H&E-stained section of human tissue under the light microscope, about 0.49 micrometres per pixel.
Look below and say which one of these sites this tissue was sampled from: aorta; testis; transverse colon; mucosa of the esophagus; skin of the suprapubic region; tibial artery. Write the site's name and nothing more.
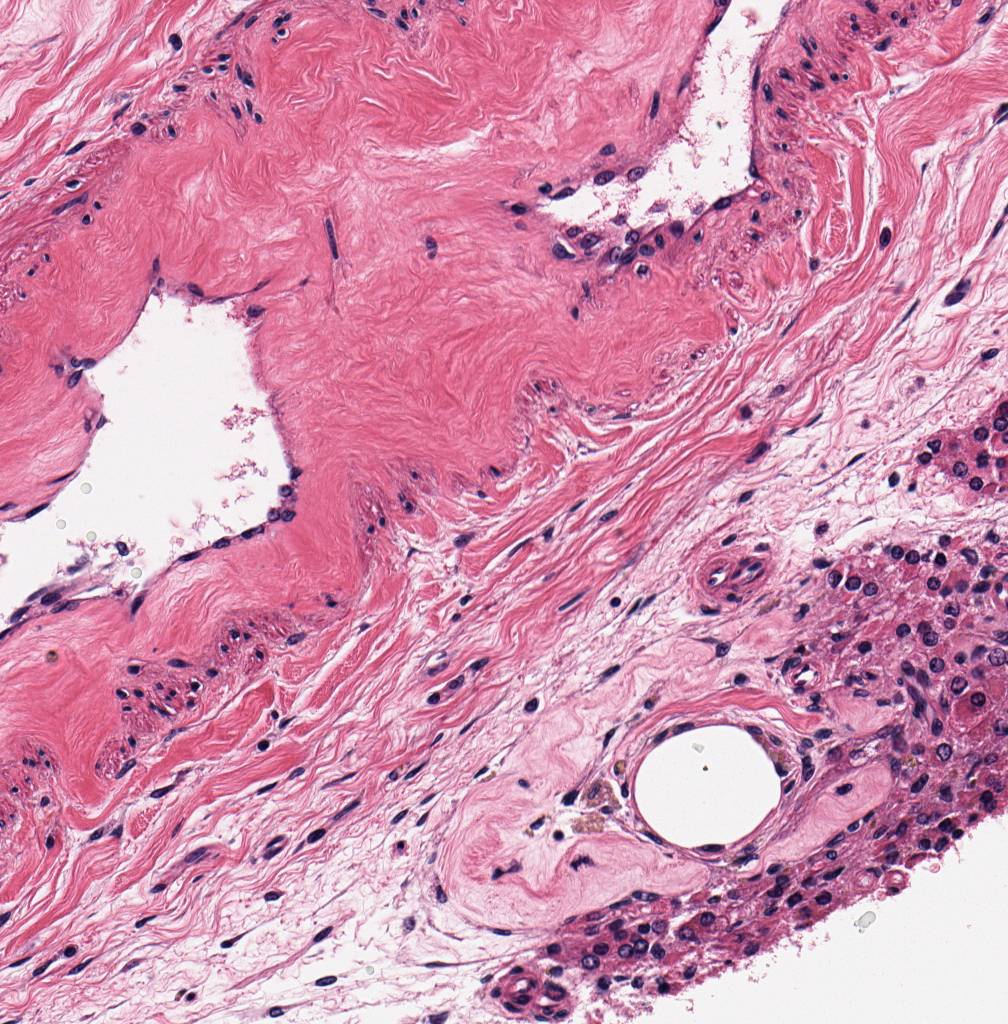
testis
